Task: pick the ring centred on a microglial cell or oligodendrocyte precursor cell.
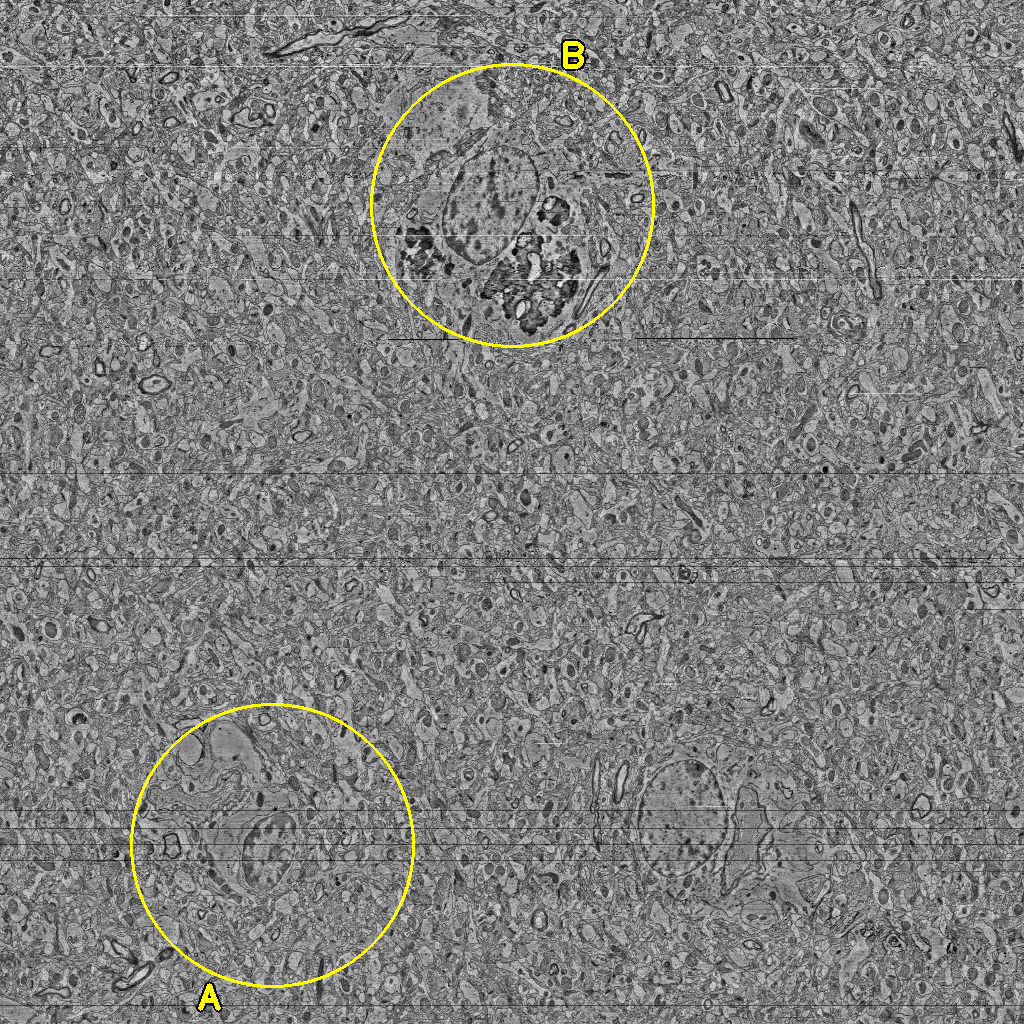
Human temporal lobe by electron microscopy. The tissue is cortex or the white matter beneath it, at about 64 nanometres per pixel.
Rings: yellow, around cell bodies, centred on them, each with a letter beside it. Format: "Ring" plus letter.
Ring A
